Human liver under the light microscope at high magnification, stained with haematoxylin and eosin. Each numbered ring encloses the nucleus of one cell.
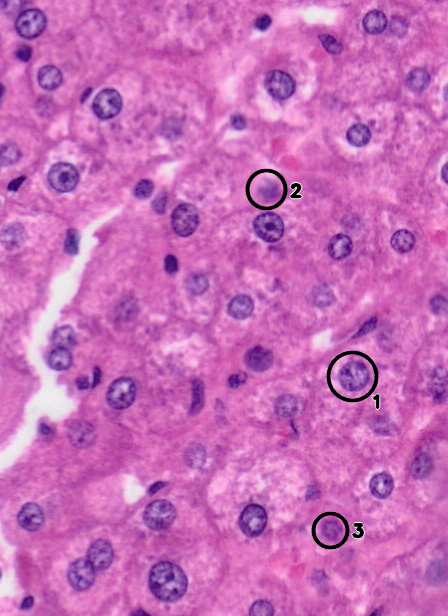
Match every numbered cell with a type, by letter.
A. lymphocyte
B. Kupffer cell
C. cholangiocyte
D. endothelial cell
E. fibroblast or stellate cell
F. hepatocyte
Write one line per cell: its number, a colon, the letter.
1: F
2: D
3: F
